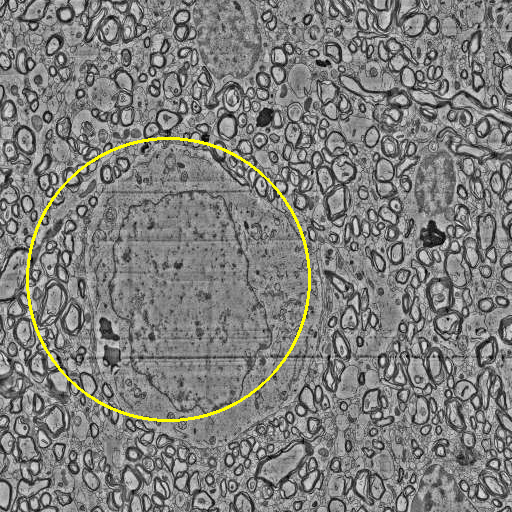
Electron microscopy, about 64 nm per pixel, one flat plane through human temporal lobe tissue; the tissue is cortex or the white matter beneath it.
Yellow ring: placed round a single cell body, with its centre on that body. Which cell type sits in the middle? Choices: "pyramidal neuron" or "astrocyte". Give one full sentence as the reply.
It is a pyramidal neuron whose cell body sits at the centre of the yellow ring.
